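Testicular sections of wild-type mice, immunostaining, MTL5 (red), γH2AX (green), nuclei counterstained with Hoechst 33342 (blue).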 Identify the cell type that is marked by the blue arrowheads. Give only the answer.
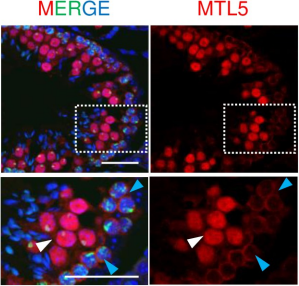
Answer: leptotene or zygotene spermatocytes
